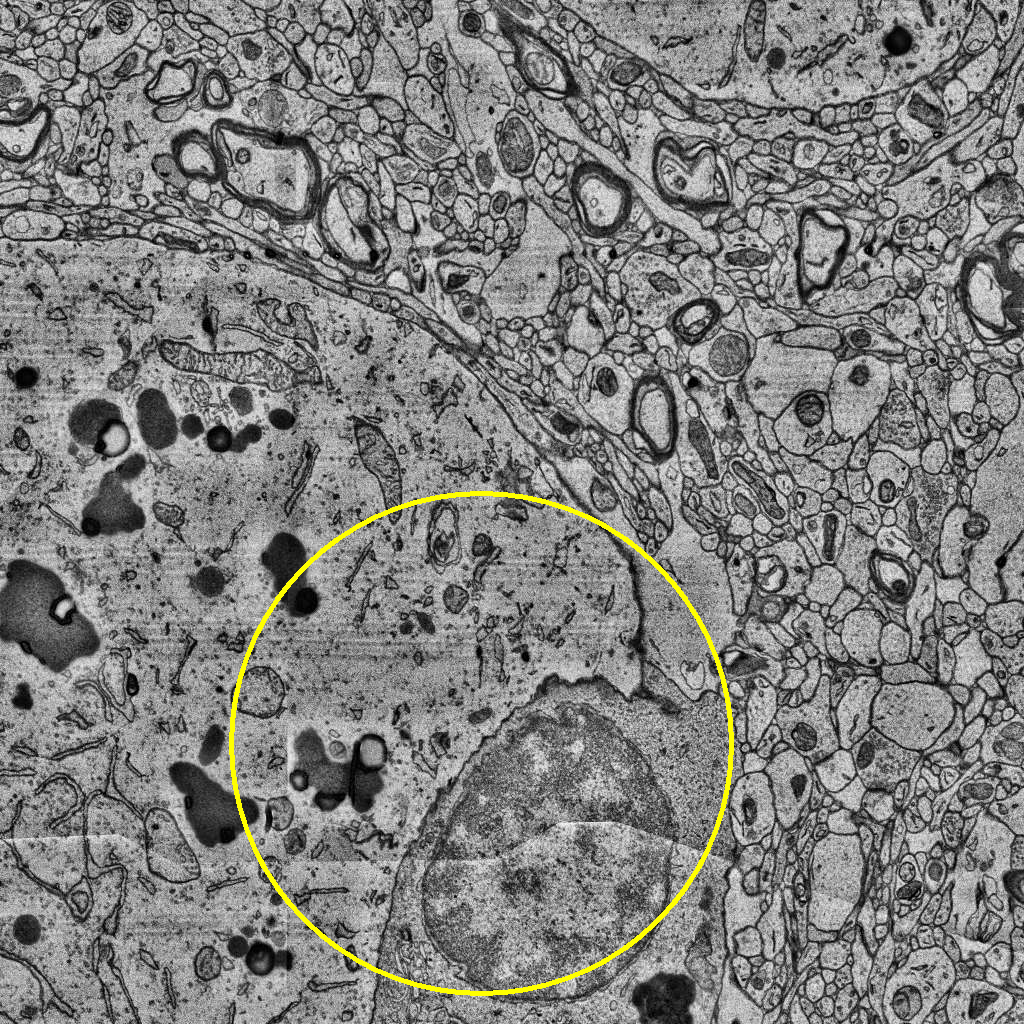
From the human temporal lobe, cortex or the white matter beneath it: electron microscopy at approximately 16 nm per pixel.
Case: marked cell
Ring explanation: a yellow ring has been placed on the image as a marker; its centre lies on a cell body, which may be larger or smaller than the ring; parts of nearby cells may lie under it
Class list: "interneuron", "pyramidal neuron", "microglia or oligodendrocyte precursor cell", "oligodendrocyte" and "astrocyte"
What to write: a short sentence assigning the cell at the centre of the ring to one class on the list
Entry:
The cell at the ring's centre is an oligodendrocyte.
